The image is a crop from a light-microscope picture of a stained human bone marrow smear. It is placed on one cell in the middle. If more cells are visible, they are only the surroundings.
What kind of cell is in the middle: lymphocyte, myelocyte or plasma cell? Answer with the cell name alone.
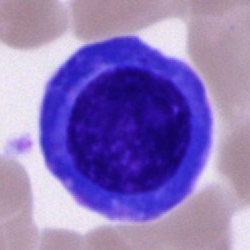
plasma cell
